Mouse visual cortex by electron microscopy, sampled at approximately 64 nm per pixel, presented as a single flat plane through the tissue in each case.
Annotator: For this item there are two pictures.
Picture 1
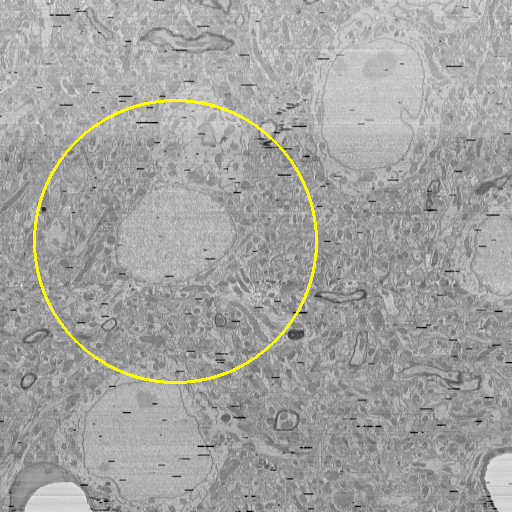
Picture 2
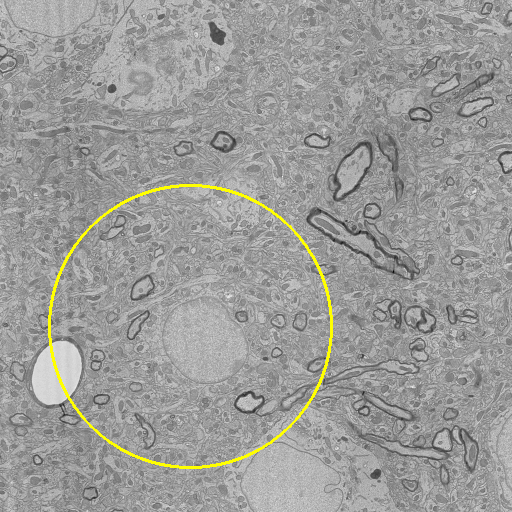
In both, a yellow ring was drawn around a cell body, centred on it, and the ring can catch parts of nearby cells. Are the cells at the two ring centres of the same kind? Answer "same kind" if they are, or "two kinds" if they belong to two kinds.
same kind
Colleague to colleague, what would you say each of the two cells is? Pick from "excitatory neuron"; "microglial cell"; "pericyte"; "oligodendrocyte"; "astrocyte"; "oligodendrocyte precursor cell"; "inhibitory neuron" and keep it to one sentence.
The second cell is an astrocyte, just as the first is.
